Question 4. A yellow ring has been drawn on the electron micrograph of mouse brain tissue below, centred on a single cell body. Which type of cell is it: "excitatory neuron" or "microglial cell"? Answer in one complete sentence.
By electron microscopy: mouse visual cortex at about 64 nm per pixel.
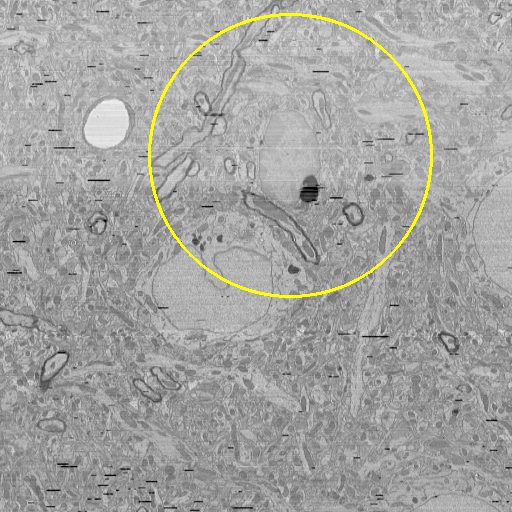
This cell body belongs to a microglial cell.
